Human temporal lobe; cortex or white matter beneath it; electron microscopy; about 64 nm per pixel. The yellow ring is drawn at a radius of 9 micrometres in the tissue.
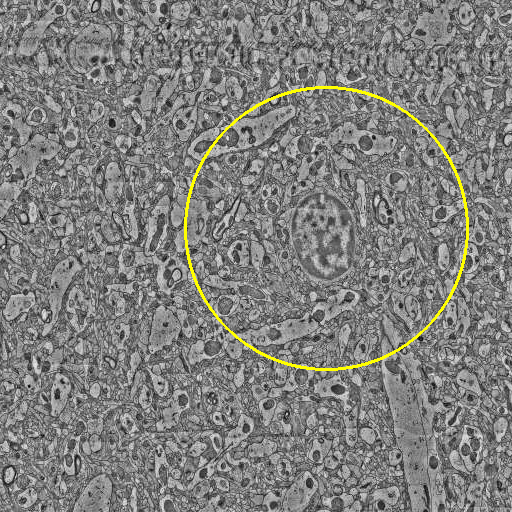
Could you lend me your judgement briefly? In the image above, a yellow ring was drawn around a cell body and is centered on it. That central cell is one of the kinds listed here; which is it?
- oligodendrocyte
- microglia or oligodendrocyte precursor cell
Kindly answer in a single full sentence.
Going by the list, an oligodendrocyte is the kind at the ring's center in the picture.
